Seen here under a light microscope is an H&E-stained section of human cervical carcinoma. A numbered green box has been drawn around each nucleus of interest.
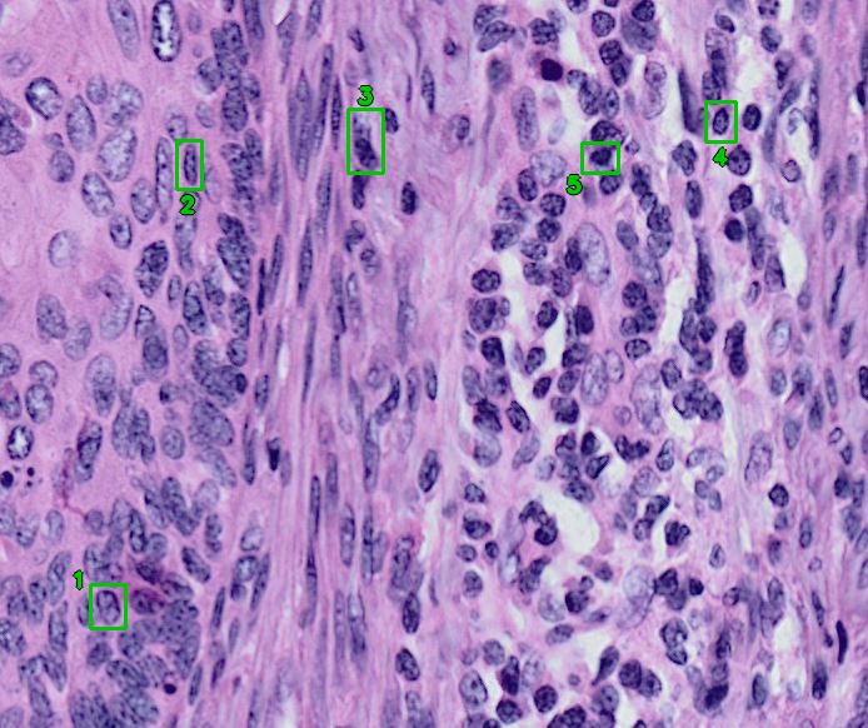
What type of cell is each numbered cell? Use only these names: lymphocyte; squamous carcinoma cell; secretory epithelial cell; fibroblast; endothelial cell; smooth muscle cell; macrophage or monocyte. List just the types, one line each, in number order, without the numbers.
squamous carcinoma cell
squamous carcinoma cell
lymphocyte
lymphocyte
lymphocyte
